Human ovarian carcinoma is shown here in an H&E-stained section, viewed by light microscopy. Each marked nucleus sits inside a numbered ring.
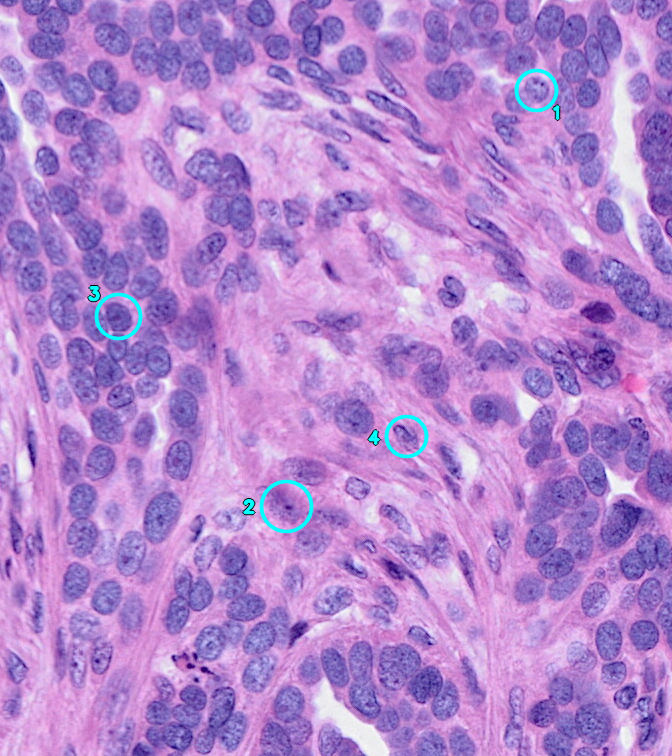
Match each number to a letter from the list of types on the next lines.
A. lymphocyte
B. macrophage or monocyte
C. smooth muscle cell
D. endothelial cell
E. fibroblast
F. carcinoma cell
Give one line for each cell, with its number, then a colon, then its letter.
1: B
2: E
3: F
4: E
